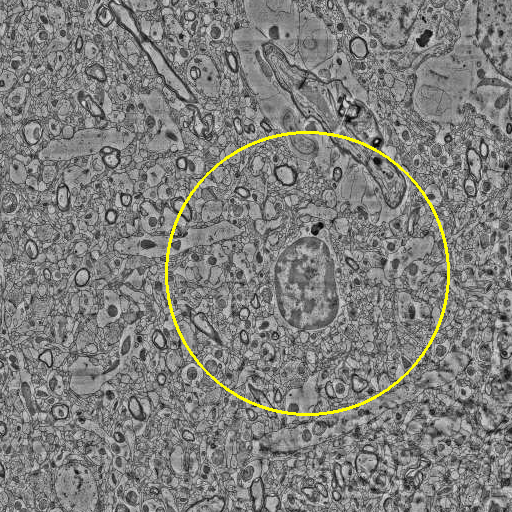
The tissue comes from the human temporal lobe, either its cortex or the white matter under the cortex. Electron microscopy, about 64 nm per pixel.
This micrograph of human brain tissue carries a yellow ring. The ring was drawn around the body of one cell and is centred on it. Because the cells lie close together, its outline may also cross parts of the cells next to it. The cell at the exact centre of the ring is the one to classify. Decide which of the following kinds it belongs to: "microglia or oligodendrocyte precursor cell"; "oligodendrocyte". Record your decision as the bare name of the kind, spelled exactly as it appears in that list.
microglia or oligodendrocyte precursor cell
